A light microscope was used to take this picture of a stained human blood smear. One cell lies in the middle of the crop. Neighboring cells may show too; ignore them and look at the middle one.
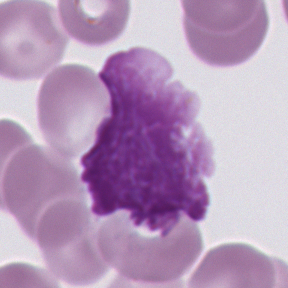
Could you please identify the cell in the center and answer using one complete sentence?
Here the cell in the middle is a smudge cell.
